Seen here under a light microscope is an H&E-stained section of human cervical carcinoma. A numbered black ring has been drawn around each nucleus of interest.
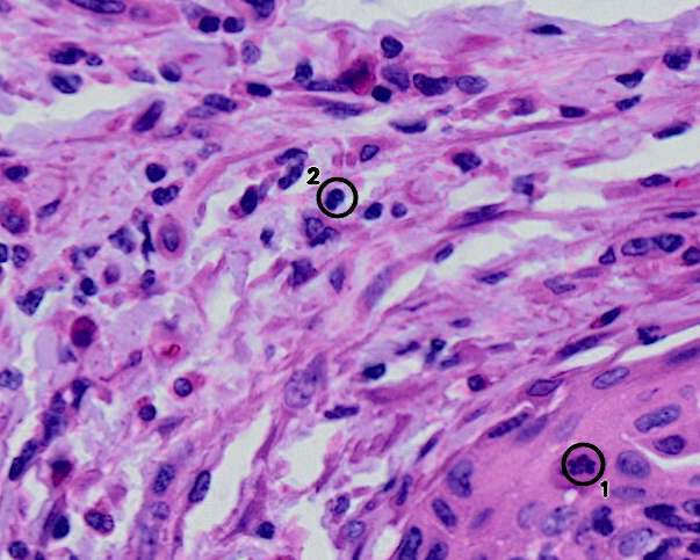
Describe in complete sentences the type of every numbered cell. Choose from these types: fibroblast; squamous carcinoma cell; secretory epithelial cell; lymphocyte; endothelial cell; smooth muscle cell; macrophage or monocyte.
Cell 1 is a squamous carcinoma cell. Cell 2 is a lymphocyte.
